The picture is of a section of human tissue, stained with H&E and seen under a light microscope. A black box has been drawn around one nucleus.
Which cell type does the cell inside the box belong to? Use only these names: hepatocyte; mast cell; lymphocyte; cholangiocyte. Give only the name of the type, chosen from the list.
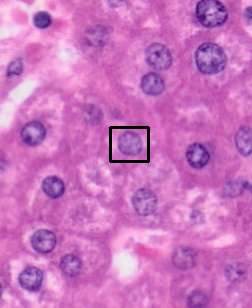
hepatocyte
